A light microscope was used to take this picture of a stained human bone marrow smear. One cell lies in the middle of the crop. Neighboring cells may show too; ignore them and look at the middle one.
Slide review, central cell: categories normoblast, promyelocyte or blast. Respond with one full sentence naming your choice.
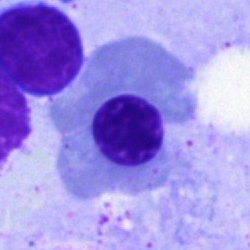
The cell that lies at the centre of the crop is a normoblast.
